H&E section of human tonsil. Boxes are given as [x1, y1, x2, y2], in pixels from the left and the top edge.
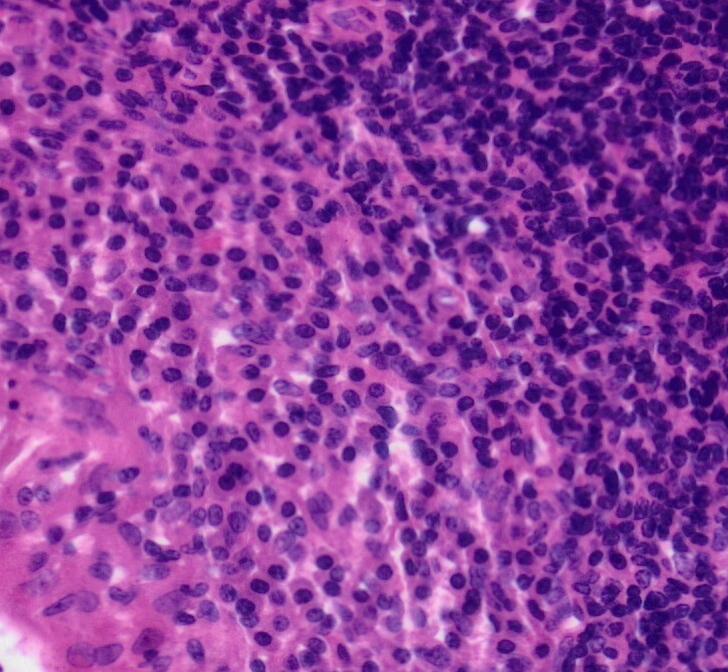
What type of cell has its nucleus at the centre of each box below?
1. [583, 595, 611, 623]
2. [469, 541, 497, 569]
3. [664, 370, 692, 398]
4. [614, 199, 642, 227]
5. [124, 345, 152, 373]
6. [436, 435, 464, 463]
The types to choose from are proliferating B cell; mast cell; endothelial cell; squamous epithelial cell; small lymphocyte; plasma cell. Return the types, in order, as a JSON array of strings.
["small lymphocyte", "plasma cell", "small lymphocyte", "small lymphocyte", "plasma cell", "plasma cell"]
